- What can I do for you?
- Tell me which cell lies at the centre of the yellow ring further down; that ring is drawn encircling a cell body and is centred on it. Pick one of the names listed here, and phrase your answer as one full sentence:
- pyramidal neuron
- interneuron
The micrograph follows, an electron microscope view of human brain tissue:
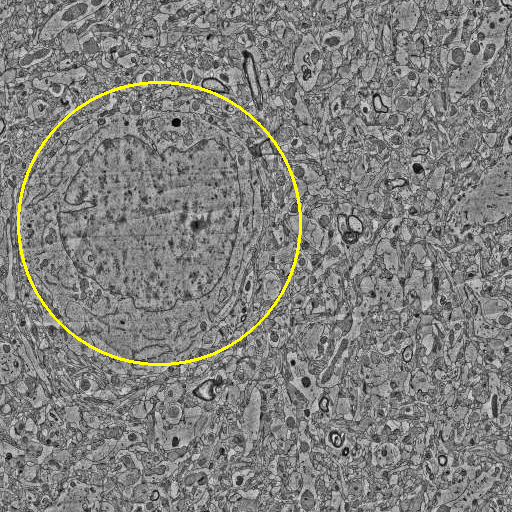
The cell whose body lies at the centre of the yellow ring is an interneuron.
